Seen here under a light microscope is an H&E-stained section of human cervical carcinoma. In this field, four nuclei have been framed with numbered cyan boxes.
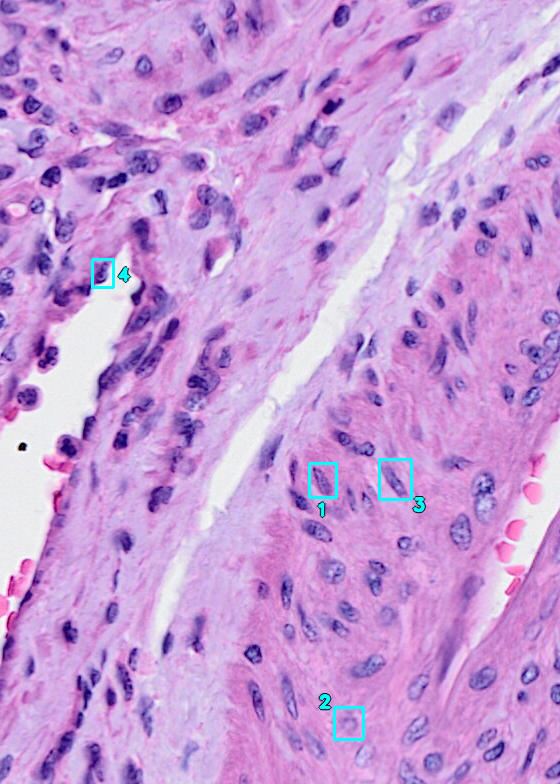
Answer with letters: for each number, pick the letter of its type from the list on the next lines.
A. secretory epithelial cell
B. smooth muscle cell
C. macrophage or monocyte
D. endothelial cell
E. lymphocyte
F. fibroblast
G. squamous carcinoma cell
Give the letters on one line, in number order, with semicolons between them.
B; B; B; D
